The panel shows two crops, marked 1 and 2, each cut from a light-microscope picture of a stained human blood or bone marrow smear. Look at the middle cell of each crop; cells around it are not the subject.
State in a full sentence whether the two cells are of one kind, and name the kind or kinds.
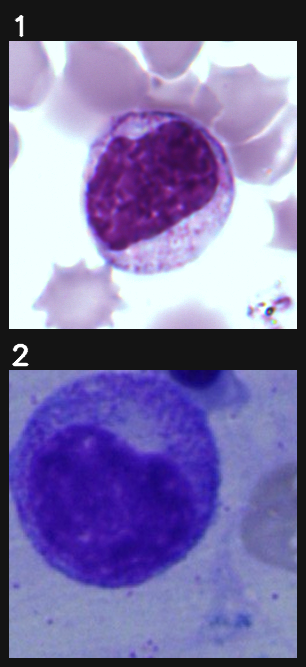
No, crop 1 represents a metamyelocyte, and crop 2 represents a myelocyte.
